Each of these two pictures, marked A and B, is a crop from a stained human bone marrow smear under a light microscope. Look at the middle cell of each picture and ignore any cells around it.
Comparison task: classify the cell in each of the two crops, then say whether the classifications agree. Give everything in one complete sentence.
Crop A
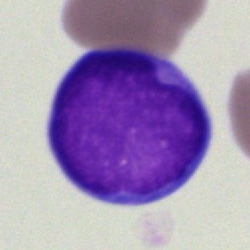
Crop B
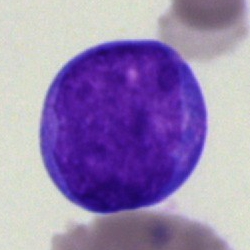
Yes, the two crops show blasts, both of them.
